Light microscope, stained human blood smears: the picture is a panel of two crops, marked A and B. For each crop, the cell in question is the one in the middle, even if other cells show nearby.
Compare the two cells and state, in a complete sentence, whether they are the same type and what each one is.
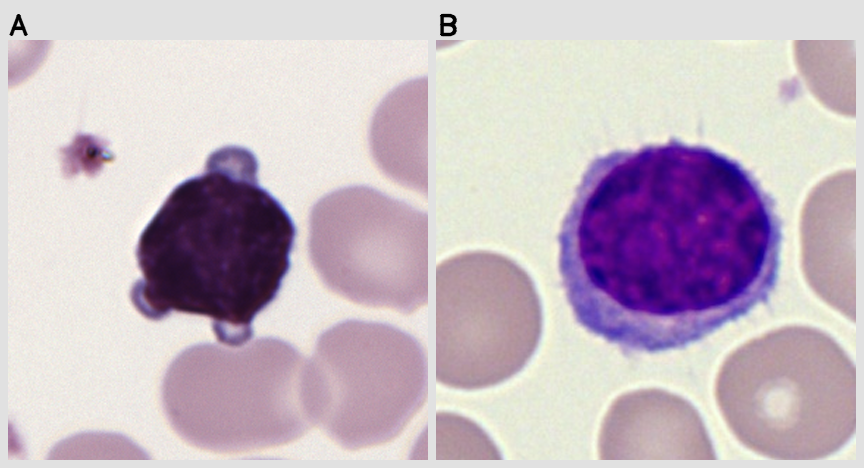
Yes, lymphocytes are at the centre in both crops.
